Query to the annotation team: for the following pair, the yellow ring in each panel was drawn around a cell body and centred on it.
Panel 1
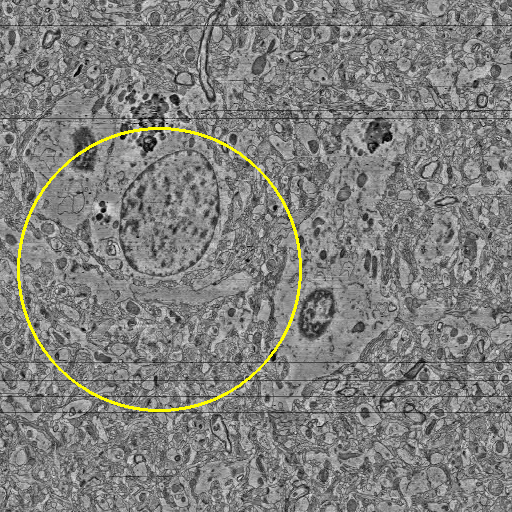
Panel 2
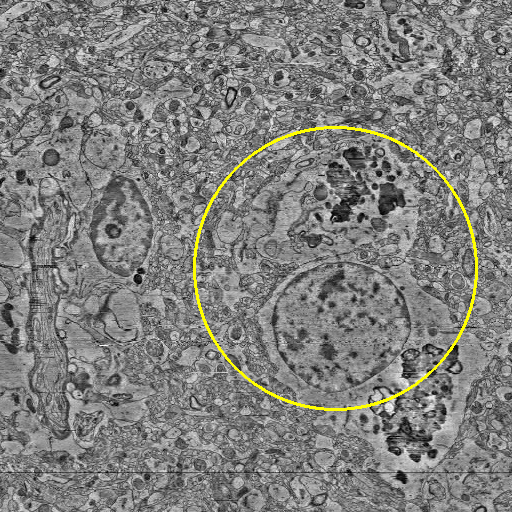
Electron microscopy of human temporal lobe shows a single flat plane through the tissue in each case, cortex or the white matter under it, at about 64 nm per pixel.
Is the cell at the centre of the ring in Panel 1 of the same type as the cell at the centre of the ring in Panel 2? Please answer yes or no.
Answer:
yes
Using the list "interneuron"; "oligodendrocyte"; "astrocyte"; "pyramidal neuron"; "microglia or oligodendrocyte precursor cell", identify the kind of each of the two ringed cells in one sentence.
In each of the two pictures, the ringed cell is an astrocyte.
